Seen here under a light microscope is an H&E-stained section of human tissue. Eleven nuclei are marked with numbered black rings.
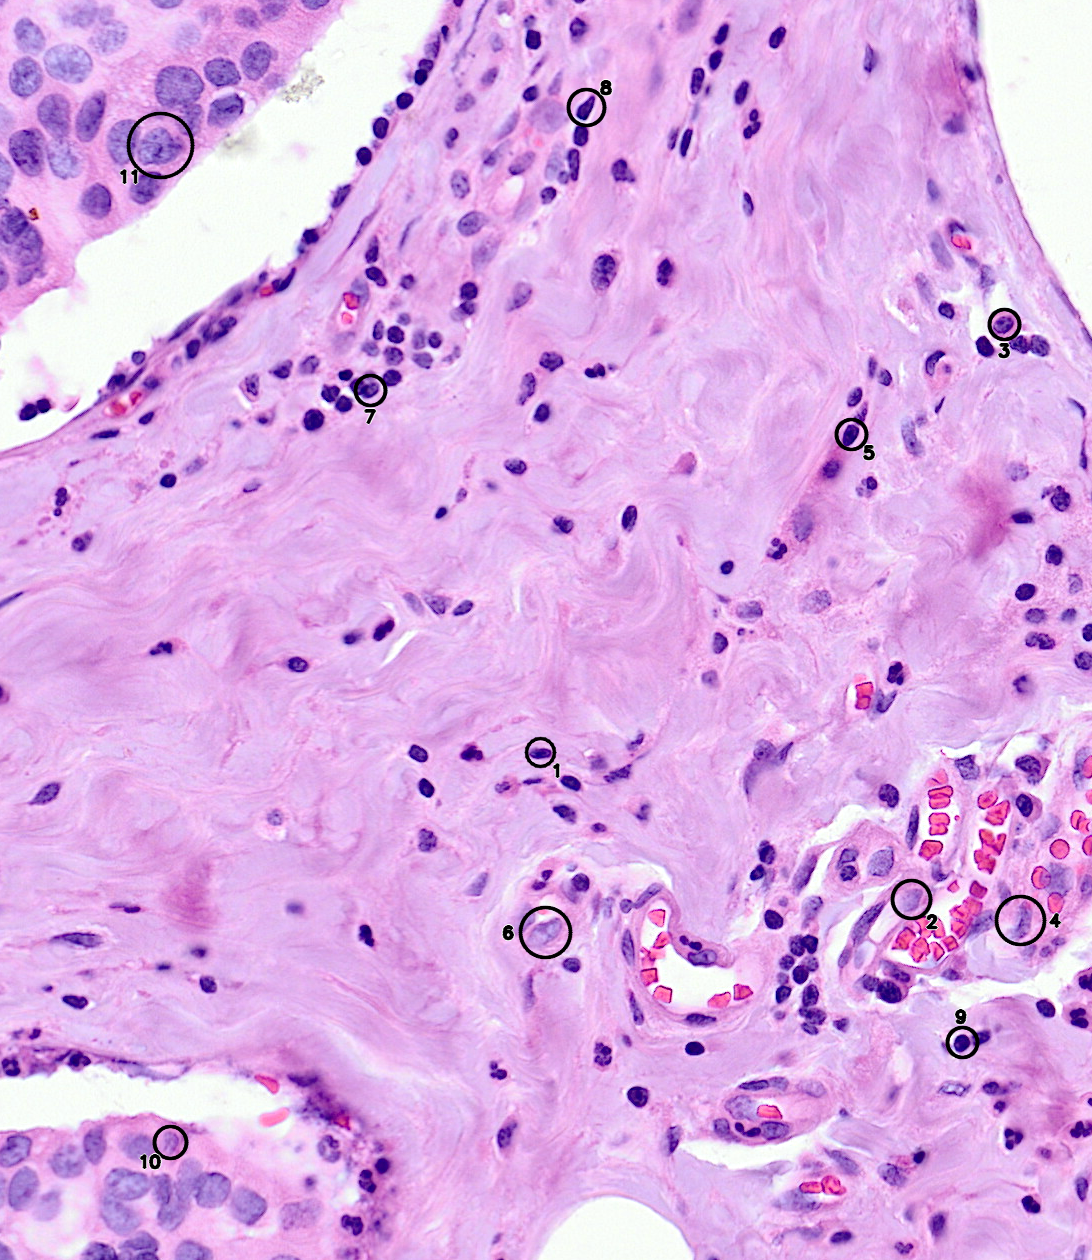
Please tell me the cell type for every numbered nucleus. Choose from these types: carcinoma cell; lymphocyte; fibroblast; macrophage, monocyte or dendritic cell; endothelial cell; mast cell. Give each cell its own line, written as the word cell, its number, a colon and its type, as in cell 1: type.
cell 1: lymphocyte
cell 2: endothelial cell
cell 3: mast cell
cell 4: endothelial cell
cell 5: lymphocyte
cell 6: endothelial cell
cell 7: lymphocyte
cell 8: lymphocyte
cell 9: lymphocyte
cell 10: carcinoma cell
cell 11: carcinoma cell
